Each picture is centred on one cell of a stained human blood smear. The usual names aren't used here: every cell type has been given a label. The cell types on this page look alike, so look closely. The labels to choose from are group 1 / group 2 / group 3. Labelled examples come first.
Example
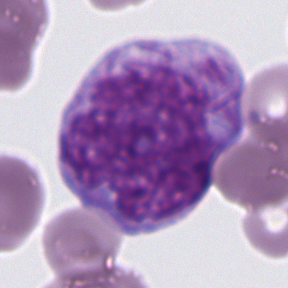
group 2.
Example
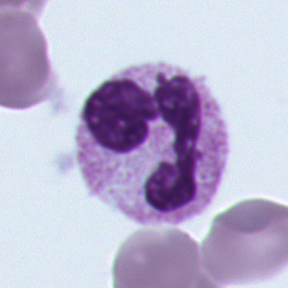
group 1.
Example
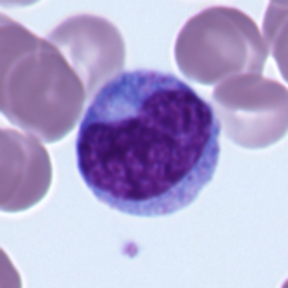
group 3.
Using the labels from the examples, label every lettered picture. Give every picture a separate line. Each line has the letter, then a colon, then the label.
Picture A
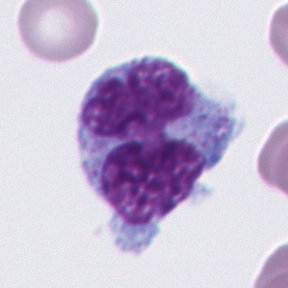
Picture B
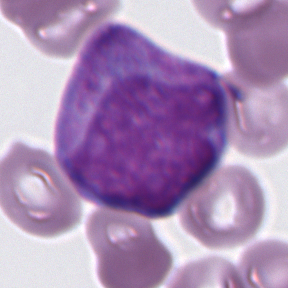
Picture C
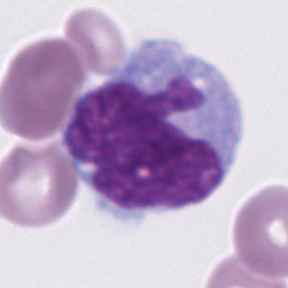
A: group 3.
B: group 2.
C: group 3.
